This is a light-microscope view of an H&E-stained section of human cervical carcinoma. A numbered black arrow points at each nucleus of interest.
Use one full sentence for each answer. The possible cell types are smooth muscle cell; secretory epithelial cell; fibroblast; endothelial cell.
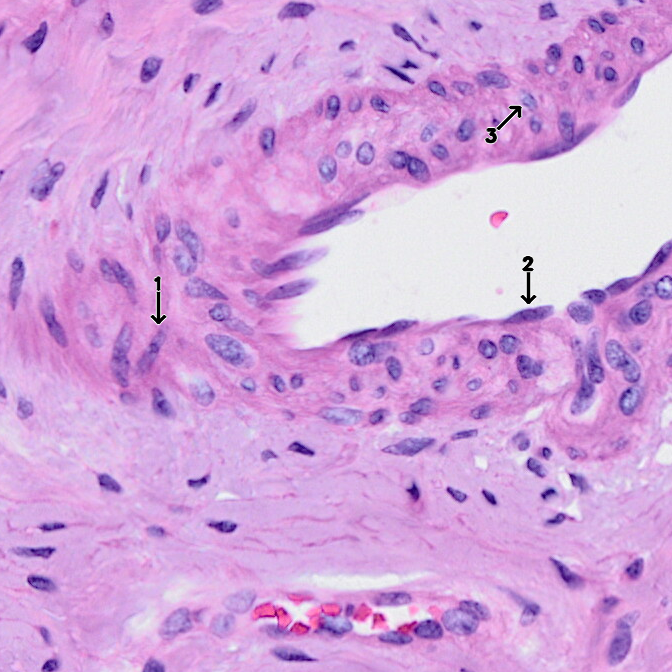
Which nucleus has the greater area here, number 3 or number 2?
Nucleus 2 is the larger one, covering about 2.5 times the area of nucleus 3.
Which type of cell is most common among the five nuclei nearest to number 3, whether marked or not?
Around number 3, most of the five nearest nuclei are those of smooth muscle cells.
